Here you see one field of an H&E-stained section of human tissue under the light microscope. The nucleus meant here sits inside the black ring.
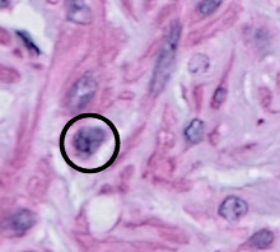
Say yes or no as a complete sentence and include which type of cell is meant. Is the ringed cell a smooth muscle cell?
No, it is not as a smooth muscle cell but as a macrophage or monocyte that the ringed cell is classed.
